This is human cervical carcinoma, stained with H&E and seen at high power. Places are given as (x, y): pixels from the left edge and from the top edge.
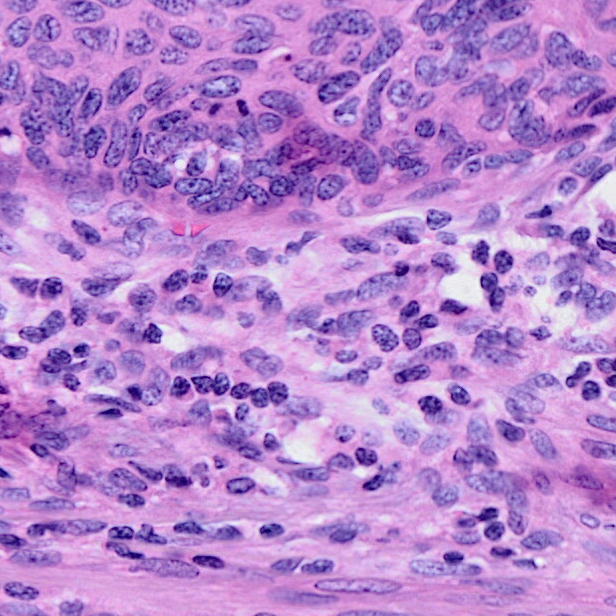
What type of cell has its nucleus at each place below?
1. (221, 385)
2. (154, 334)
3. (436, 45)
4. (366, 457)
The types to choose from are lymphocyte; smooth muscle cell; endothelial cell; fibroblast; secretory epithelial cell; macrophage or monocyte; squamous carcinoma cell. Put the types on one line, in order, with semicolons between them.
lymphocyte; lymphocyte; squamous carcinoma cell; lymphocyte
